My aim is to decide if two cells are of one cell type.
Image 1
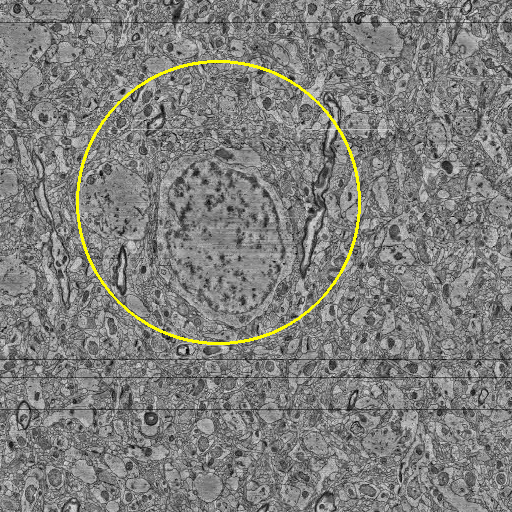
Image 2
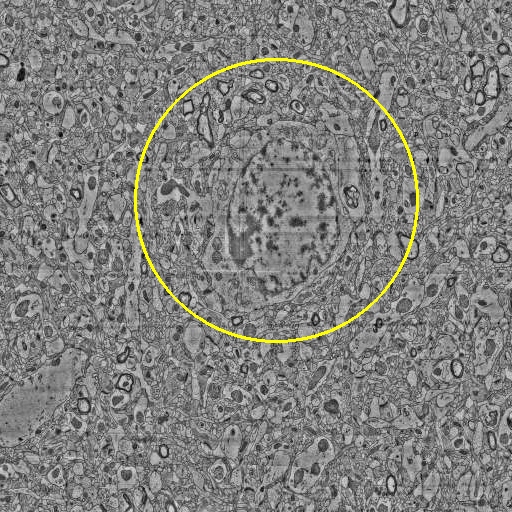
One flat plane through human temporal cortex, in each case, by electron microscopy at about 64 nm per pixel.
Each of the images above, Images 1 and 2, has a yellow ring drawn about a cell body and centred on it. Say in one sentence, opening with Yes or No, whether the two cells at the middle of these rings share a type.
Yes, in Images 1 and 2 the cells at the middle of the rings share one type.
